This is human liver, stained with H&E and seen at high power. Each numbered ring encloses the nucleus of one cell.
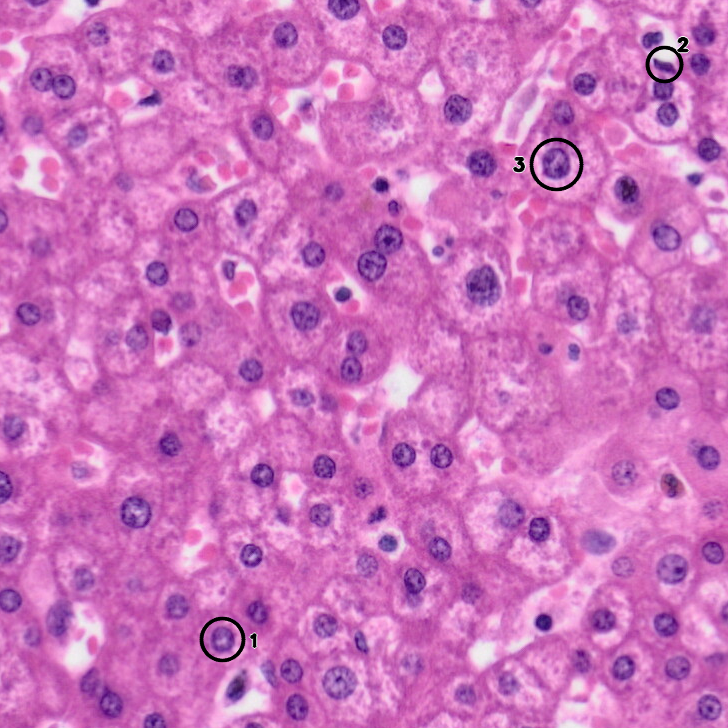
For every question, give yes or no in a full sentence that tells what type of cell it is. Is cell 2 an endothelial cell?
Yes, so the cell at label 2 is an endothelial cell.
